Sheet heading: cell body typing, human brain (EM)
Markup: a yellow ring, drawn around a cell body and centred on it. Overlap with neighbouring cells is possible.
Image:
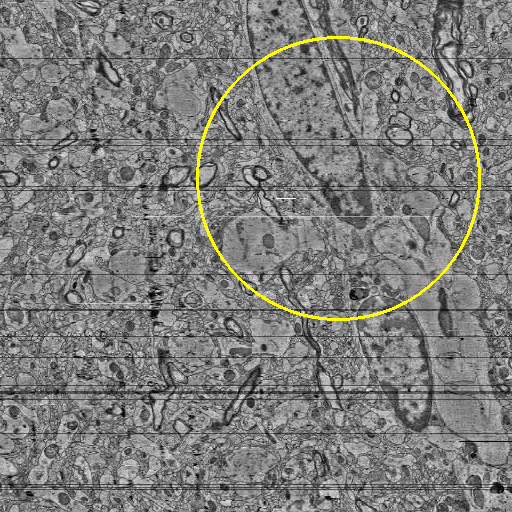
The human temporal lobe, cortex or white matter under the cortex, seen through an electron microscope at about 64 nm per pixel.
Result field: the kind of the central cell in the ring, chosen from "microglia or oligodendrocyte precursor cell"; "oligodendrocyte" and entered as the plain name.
microglia or oligodendrocyte precursor cell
